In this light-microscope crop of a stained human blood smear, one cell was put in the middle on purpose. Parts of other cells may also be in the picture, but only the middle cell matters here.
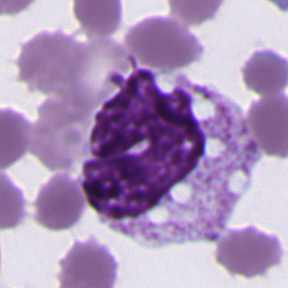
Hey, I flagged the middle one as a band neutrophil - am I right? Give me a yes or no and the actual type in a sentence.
Yes, the middle cell is classified as a band neutrophil.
